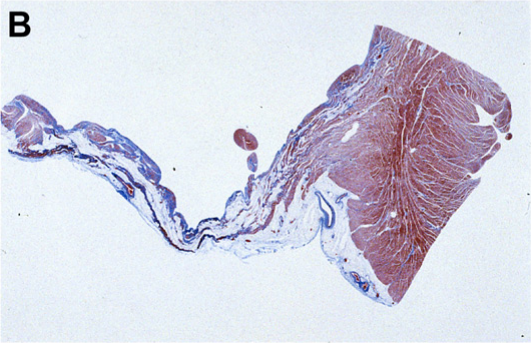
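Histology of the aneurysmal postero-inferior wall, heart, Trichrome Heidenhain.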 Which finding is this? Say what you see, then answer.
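On the right, a thick block of red-stained muscle. To the left the wall thins to a narrow band of mostly blue and pale tissue with little red muscle.
Loss of myocardium with fibro-fatty replacement.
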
